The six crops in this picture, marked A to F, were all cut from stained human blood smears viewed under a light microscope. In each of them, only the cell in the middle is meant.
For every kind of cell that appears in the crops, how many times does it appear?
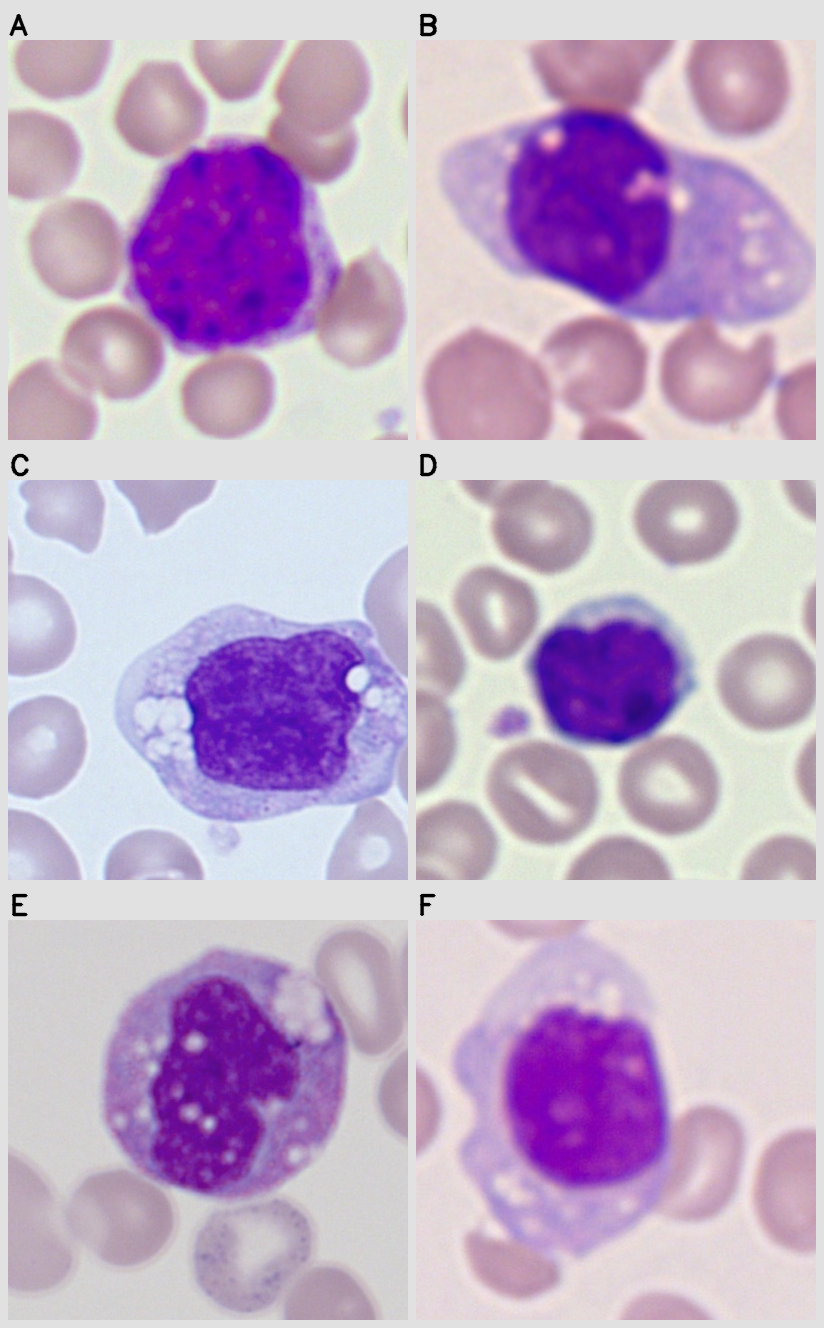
monocyte: 4
blast: 1
lymphocyte: 1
